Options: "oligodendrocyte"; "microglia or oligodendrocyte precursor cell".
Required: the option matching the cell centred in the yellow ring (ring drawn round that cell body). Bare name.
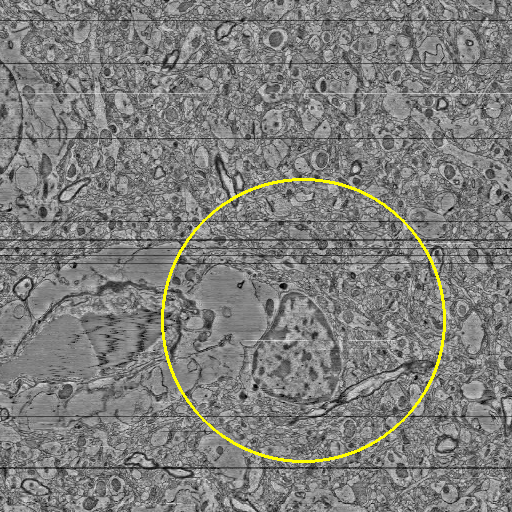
microglia or oligodendrocyte precursor cell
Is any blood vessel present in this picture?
Yes, the picture includes a blood vessel.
